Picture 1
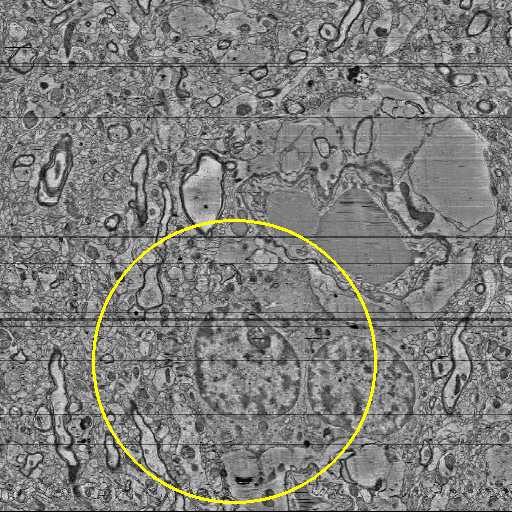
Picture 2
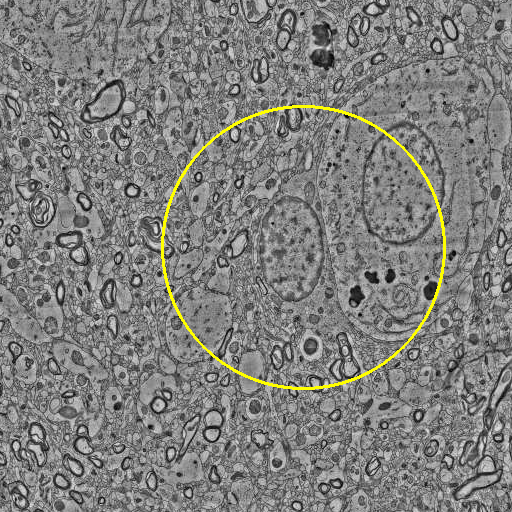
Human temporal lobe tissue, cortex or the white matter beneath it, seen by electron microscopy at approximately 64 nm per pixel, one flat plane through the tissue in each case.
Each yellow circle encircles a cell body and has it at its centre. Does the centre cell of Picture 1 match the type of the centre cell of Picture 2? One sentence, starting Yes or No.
Yes, the cell centred in Picture 1 and the one in Picture 2 share a type.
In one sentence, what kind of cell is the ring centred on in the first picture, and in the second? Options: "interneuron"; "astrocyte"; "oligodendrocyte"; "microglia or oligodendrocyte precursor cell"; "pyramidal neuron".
Both the first and the second picture show an oligodendrocyte in the ring.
